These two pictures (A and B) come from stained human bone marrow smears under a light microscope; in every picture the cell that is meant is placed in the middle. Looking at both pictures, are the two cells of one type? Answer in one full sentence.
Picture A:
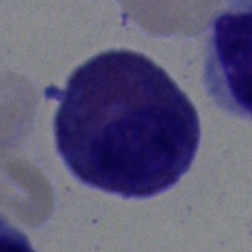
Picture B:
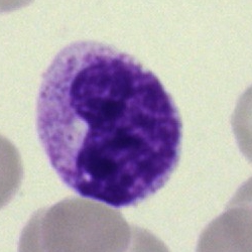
No; the cell in picture A is an eosinophil, while the one in picture B is a metamyelocyte.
